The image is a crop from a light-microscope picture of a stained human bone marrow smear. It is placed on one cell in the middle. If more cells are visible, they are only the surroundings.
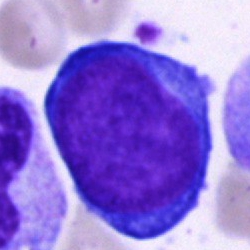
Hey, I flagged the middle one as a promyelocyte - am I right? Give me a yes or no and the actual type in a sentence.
No, the cell occupying the centre is a proerythroblast, not a promyelocyte.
